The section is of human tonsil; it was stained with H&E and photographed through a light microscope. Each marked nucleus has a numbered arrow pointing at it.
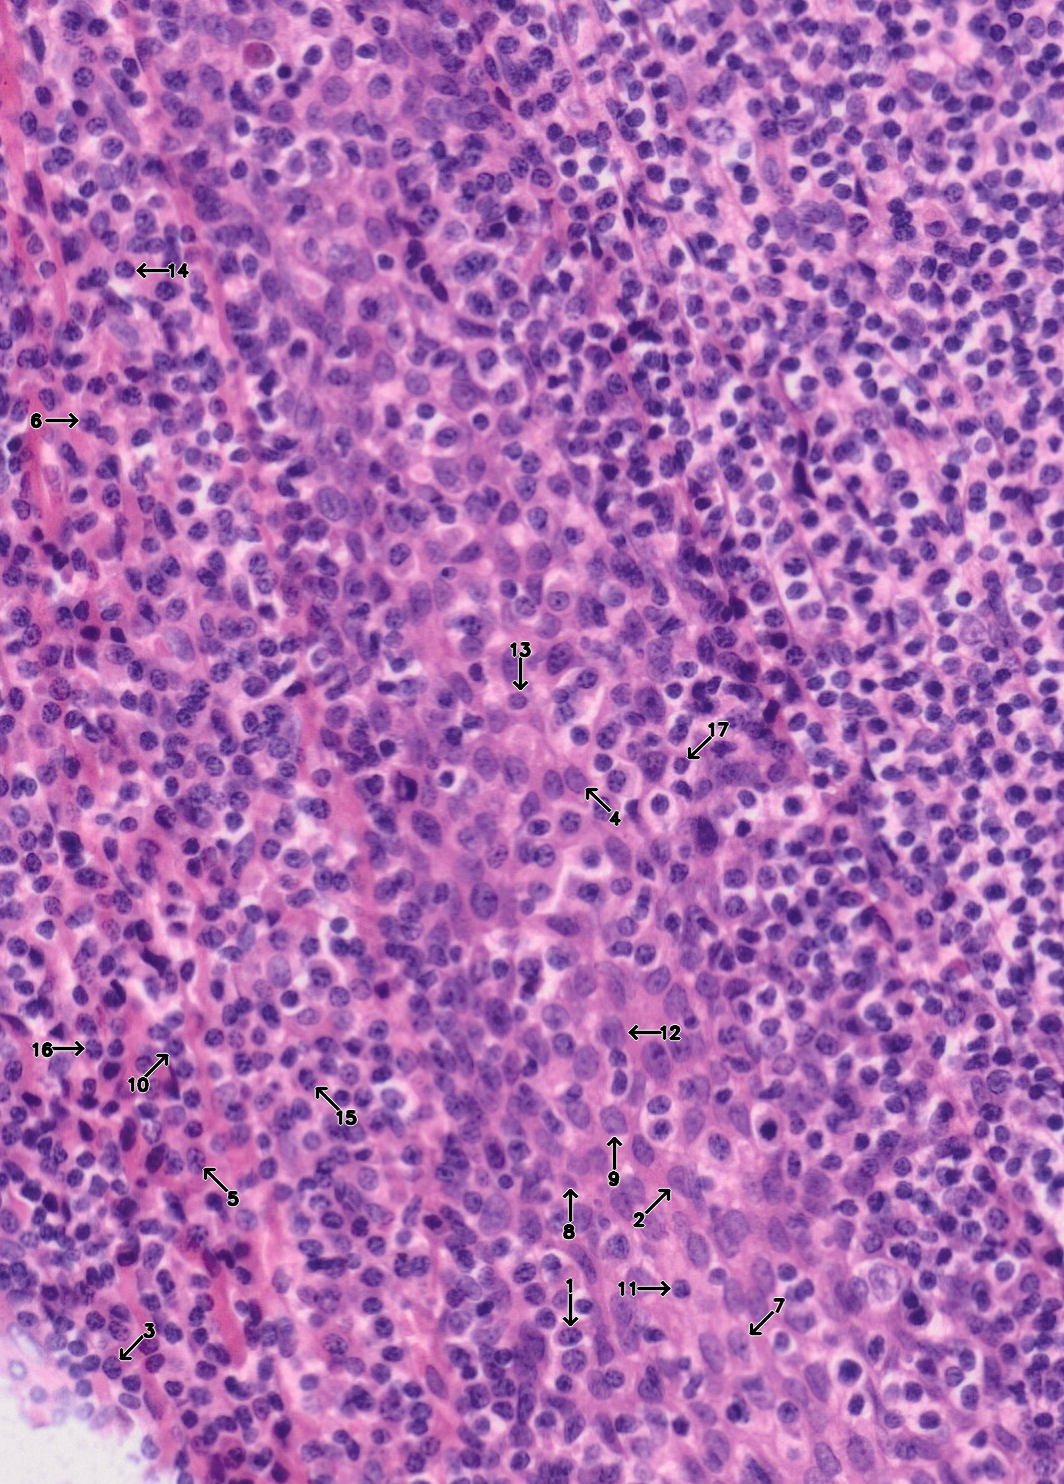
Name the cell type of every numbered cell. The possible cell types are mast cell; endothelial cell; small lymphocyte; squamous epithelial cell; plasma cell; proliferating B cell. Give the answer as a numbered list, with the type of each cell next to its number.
1. plasma cell
2. squamous epithelial cell
3. plasma cell
4. squamous epithelial cell
5. plasma cell
6. plasma cell
7. squamous epithelial cell
8. squamous epithelial cell
9. squamous epithelial cell
10. plasma cell
11. squamous epithelial cell
12. squamous epithelial cell
13. squamous epithelial cell
14. plasma cell
15. plasma cell
16. plasma cell
17. squamous epithelial cell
